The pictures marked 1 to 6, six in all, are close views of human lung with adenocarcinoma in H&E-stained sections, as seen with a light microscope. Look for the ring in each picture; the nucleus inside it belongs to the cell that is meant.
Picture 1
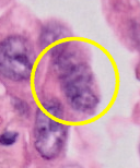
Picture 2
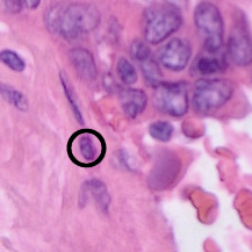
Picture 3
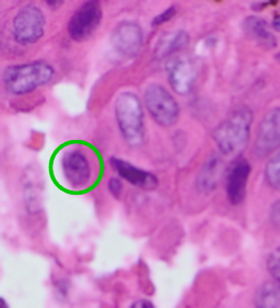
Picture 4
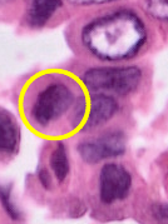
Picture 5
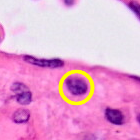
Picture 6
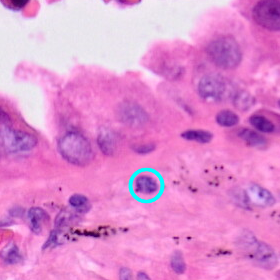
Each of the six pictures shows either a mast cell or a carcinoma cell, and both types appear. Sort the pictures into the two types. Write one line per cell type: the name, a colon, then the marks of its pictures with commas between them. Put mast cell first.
mast cell: 2, 5, 6
carcinoma cell: 1, 3, 4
